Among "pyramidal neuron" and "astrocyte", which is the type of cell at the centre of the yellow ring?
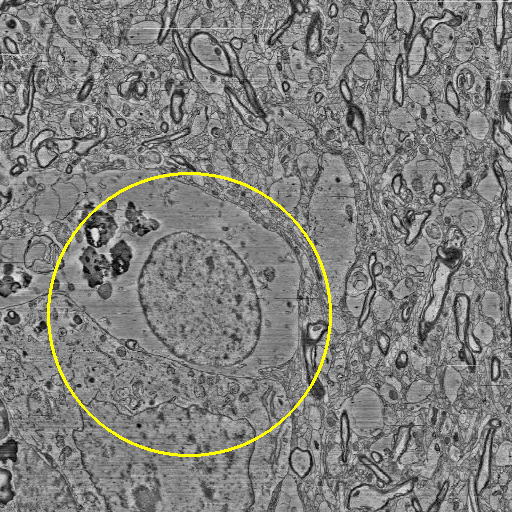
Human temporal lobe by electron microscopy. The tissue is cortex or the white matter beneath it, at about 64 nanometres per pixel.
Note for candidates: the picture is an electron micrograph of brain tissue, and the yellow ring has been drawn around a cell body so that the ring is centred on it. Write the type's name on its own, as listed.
astrocyte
